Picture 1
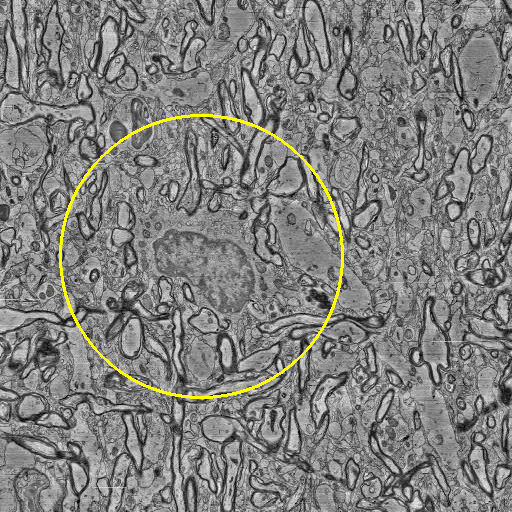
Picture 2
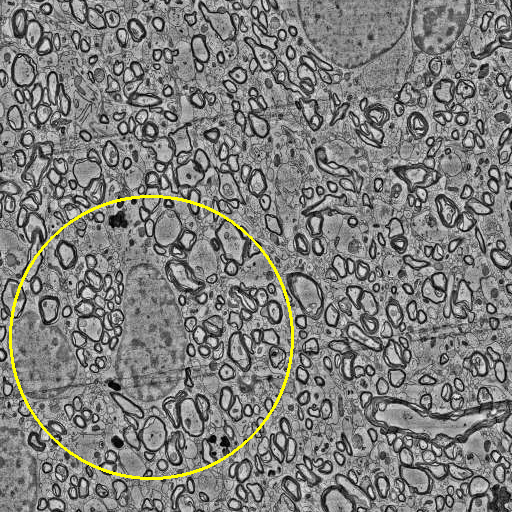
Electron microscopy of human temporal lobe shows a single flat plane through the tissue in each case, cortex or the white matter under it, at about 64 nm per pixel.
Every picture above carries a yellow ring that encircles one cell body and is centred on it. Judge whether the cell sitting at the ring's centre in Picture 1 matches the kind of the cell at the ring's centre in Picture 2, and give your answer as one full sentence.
Yes, the cells centred in the rings of Pictures 1 and 2 belong to one kind.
